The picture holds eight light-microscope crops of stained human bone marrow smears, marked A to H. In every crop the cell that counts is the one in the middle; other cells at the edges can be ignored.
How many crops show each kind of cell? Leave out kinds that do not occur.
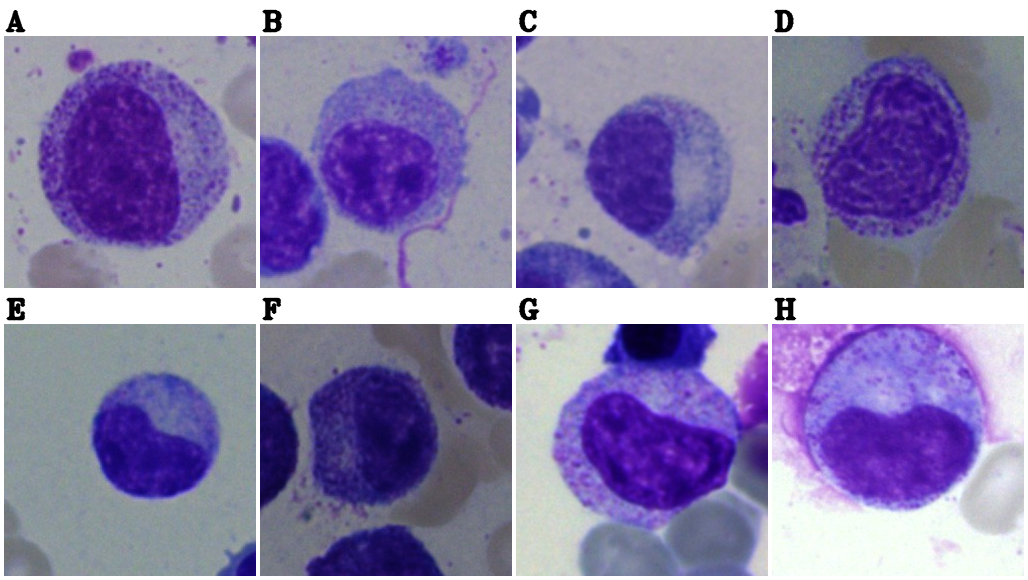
myelocyte: 4
metamyelocyte: 4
